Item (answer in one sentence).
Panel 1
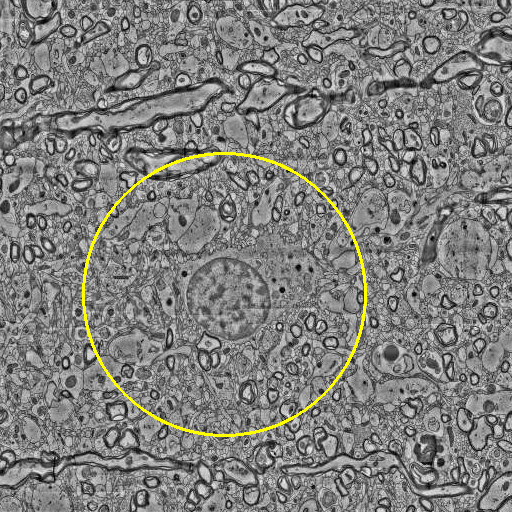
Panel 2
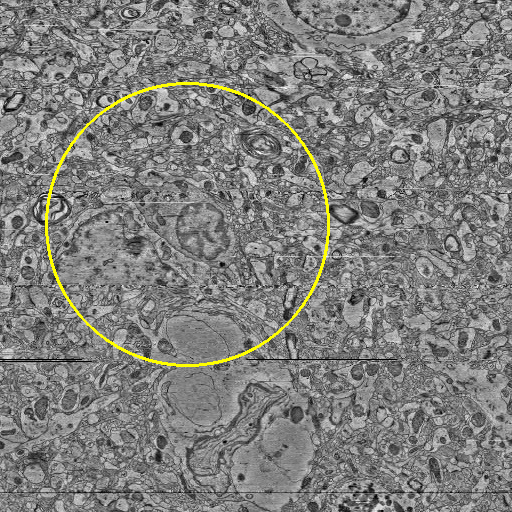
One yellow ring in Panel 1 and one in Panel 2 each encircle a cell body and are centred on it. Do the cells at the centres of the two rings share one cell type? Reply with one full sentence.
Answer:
Yes, Panel 1 and Panel 2 show cells of one type at the centres of their rings.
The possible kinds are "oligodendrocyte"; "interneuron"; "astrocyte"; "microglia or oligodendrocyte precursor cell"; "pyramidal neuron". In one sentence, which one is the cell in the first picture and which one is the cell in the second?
Both pictures show an oligodendrocyte at the centre of the ring.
